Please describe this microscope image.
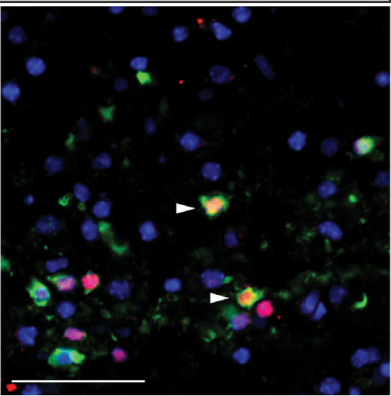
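Blue round nuclei are spread fairly evenly across the field, most without any other colour. A number of small cells show green cytoplasm around a blue nucleus, and several others have red-stained nuclei. Only a couple of cells combine both, with green cytoplasm around a red nucleus so that they look yellow-orange, and these are marked by arrowheads. Many of the green cells lack a red nucleus, and some red nuclei sit in cells without green cytoplasm.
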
